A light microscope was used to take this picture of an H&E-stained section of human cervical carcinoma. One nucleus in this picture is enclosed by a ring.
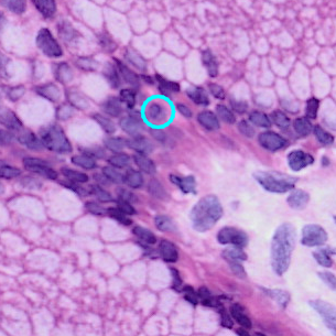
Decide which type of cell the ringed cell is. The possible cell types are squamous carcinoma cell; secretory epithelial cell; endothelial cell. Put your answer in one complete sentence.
The cell meant here is a secretory epithelial cell.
